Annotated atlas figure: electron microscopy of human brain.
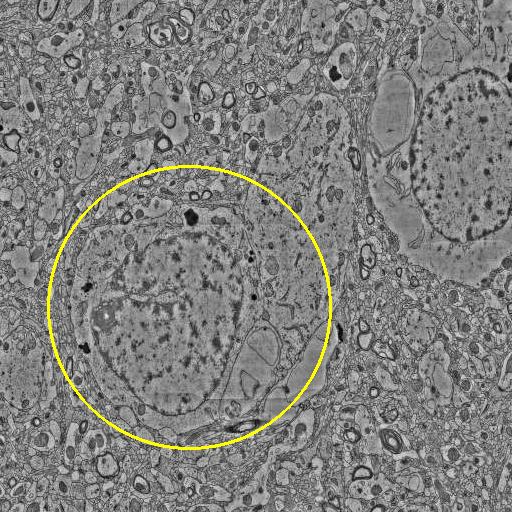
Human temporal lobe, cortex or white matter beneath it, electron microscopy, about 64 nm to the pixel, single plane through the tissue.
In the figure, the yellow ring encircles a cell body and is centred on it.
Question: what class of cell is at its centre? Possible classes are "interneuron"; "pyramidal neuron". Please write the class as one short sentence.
The yellow ring is drawn around an interneuron.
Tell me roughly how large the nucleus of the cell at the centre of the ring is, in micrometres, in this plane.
The nucleus works out at approximately 12 by 9 micrometres in this plane.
